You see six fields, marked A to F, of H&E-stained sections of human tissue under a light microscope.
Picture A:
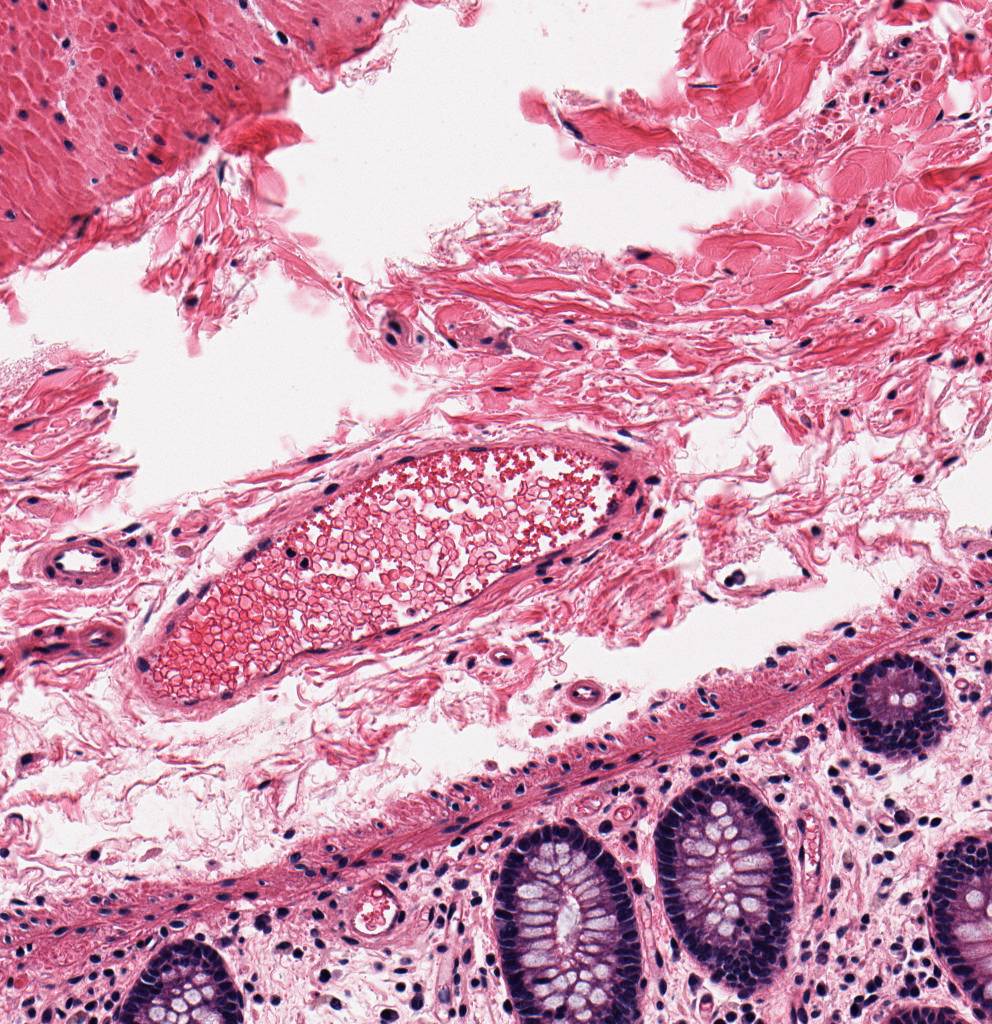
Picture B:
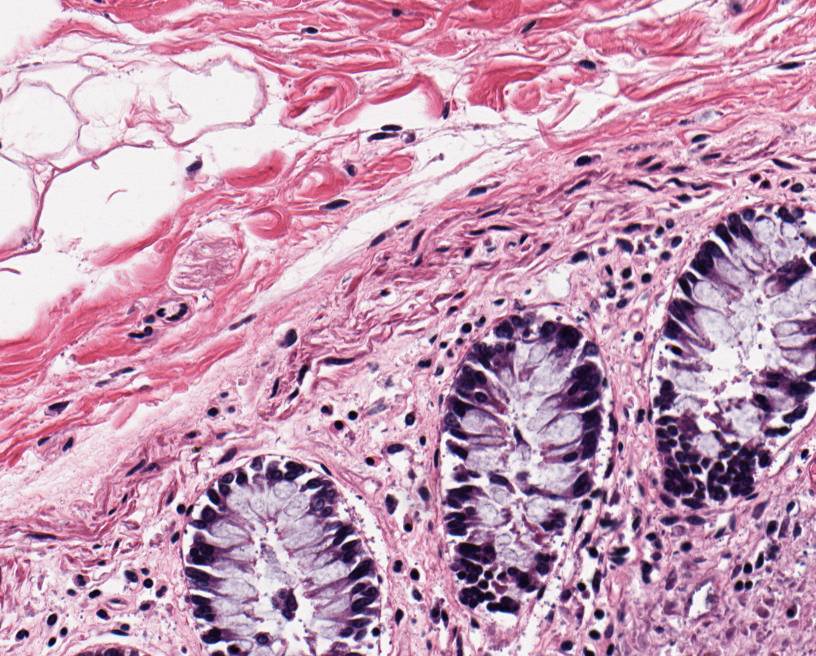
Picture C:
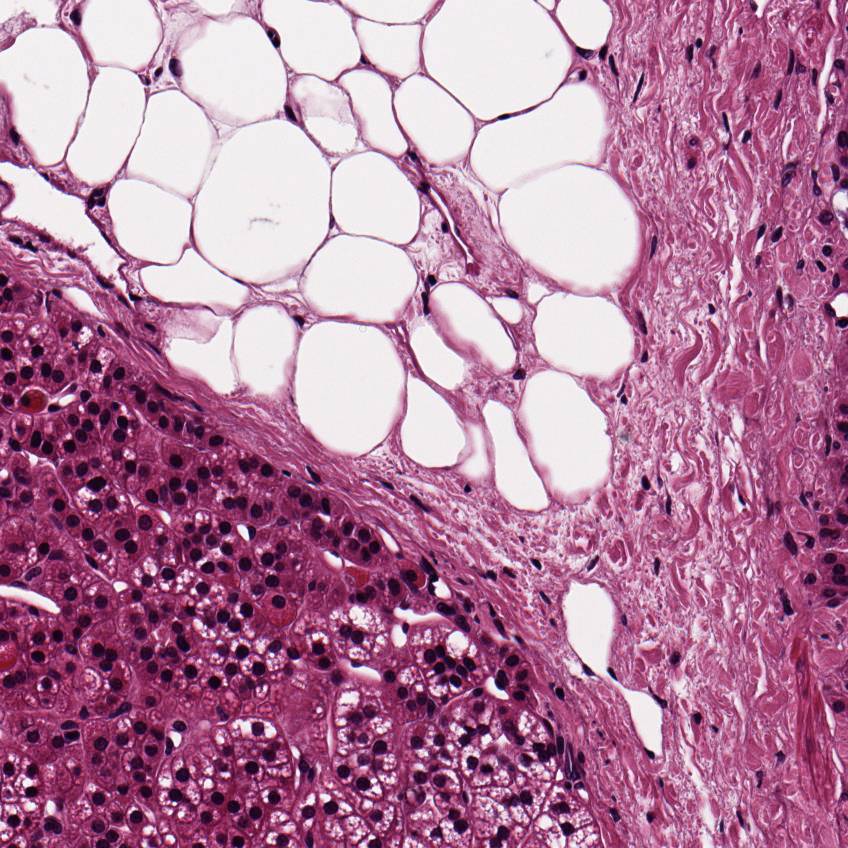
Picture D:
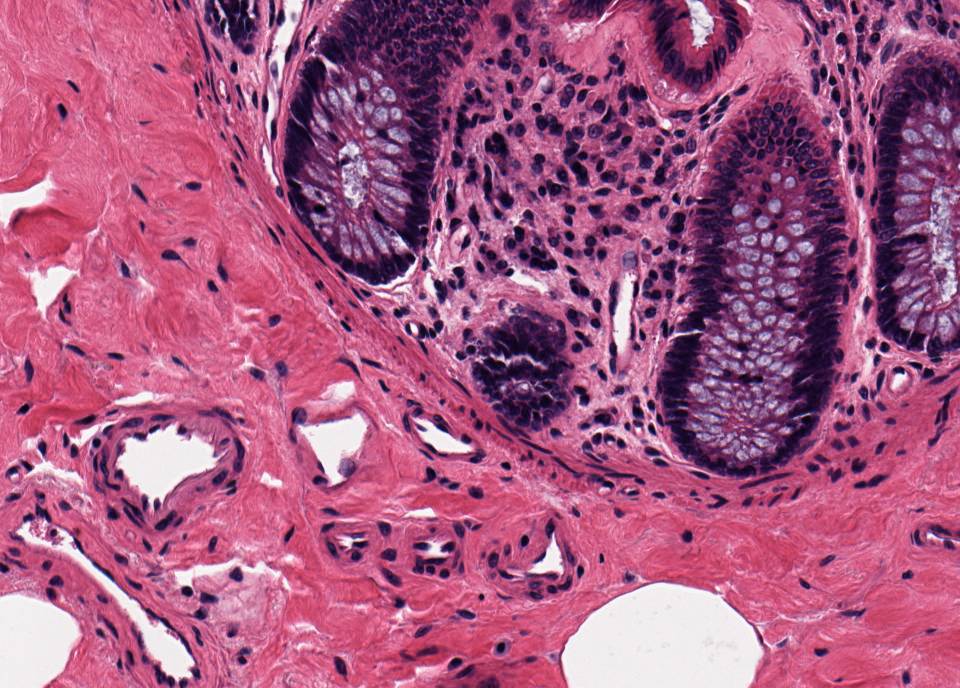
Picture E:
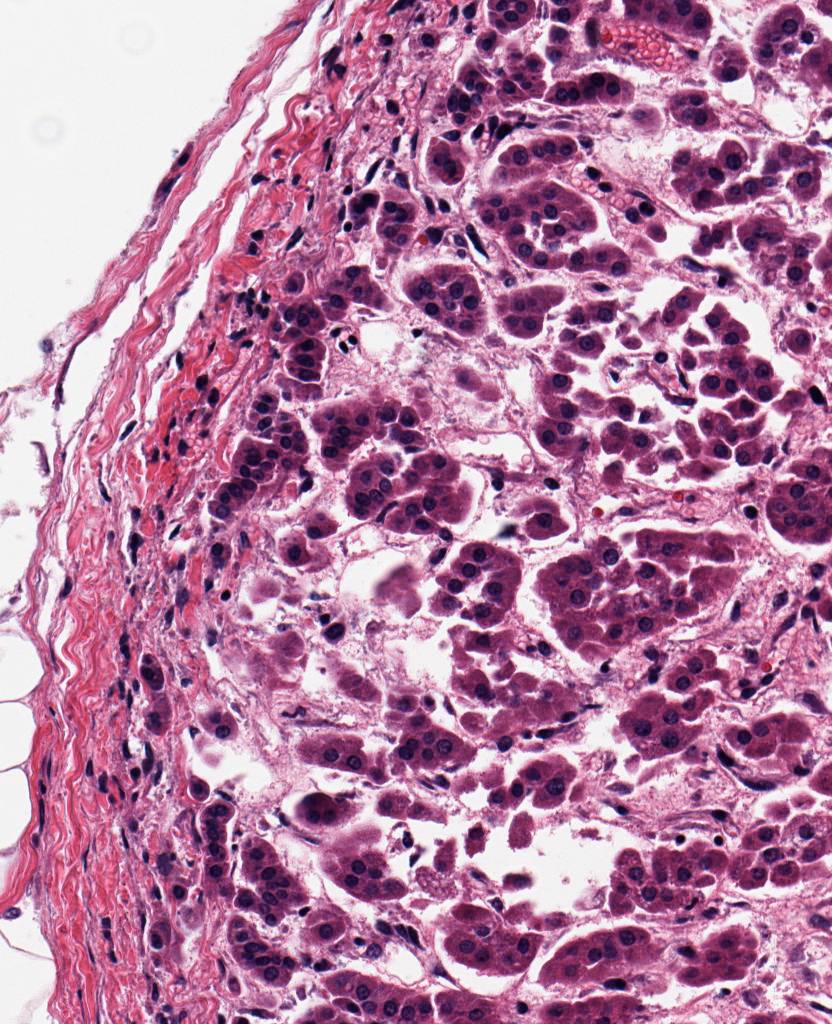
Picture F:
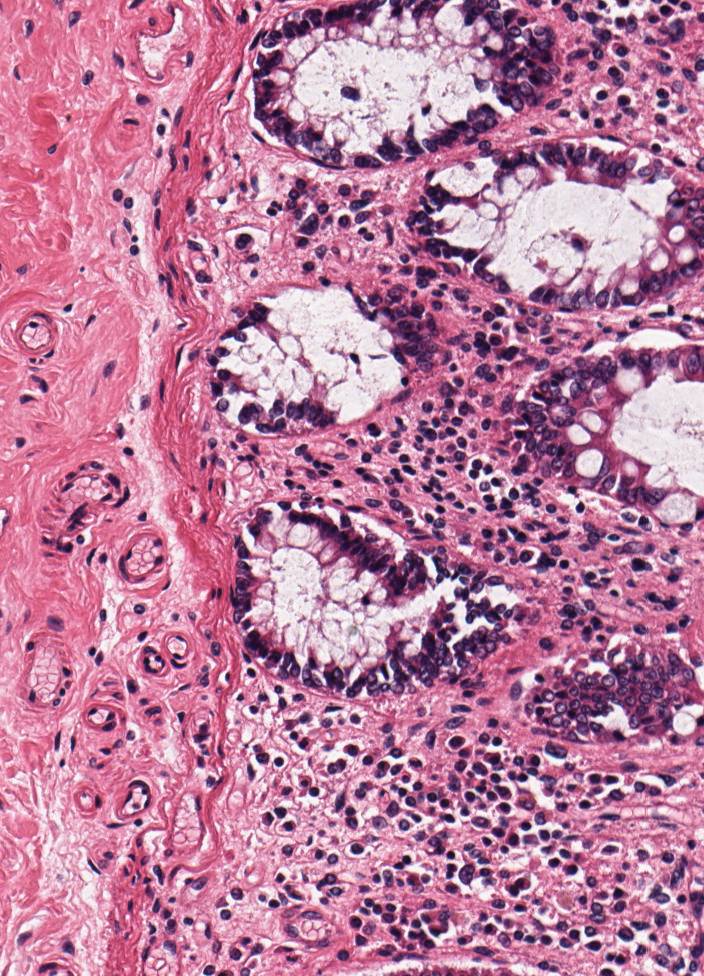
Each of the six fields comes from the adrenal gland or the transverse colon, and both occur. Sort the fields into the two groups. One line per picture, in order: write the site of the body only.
transverse colon
transverse colon
adrenal gland
transverse colon
adrenal gland
transverse colon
